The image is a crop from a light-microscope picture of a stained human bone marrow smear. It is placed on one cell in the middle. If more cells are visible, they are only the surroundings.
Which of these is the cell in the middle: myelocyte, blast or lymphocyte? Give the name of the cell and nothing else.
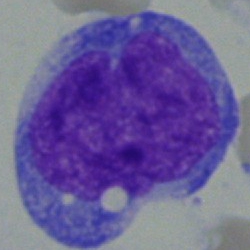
blast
